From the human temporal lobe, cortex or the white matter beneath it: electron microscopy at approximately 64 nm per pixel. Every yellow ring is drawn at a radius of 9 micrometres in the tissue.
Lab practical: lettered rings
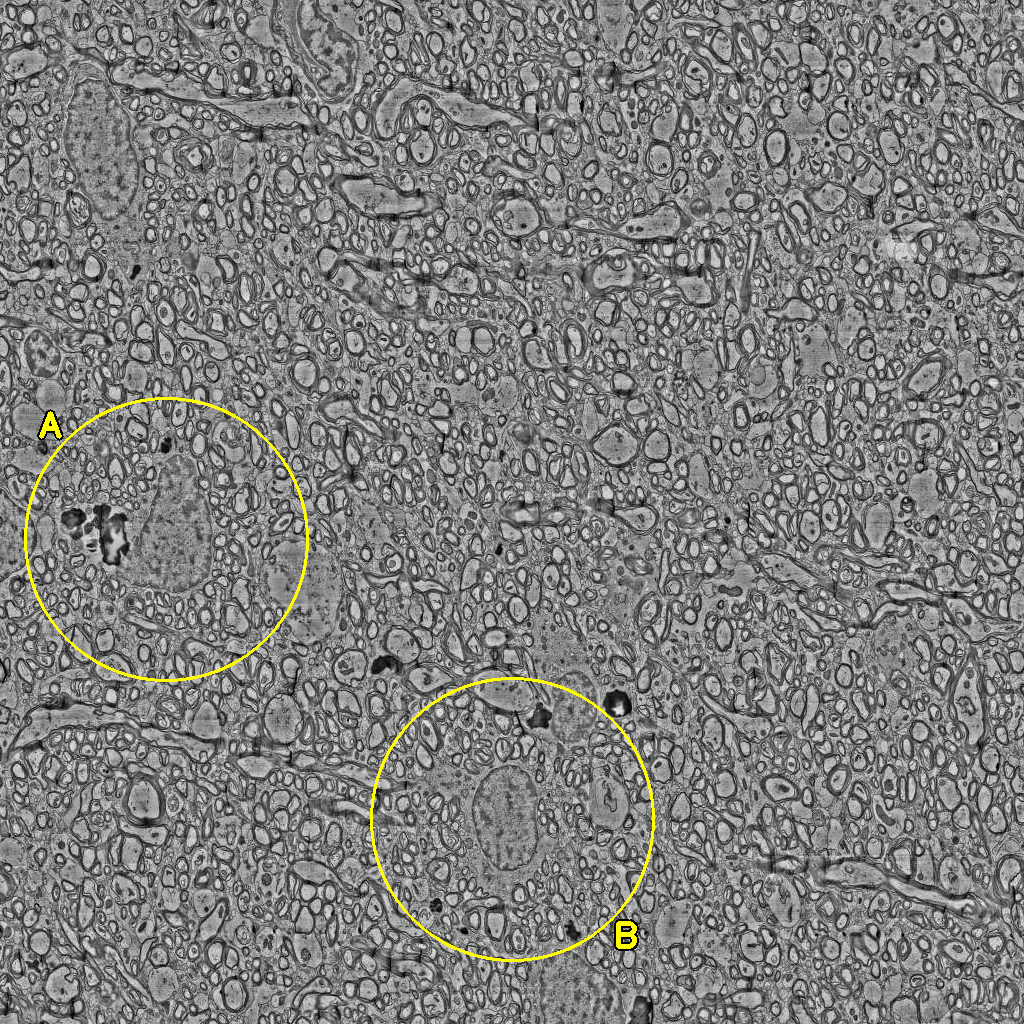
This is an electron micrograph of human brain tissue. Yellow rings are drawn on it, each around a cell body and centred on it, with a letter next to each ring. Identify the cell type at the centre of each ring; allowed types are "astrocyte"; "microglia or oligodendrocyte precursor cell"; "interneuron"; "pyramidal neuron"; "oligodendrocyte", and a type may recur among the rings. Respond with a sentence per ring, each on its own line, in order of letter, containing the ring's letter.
Lying at the centre of ring A is an oligodendrocyte.
Lying at the centre of ring B is an oligodendrocyte.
